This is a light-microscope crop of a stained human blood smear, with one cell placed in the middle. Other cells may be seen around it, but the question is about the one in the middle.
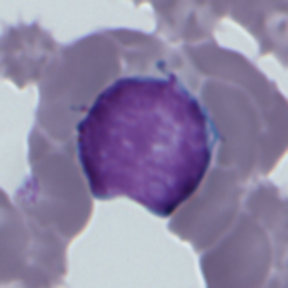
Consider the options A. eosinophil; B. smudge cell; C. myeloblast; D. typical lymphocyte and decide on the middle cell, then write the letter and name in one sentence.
Seen at the centre of the crop is a typical lymphocyte, so option D is correct.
